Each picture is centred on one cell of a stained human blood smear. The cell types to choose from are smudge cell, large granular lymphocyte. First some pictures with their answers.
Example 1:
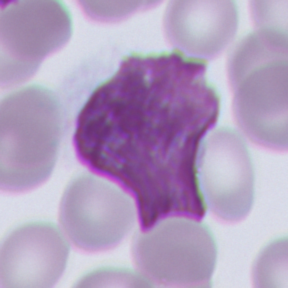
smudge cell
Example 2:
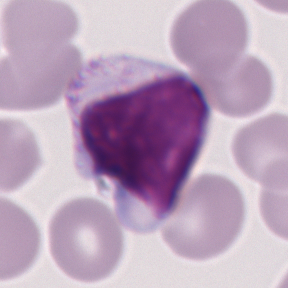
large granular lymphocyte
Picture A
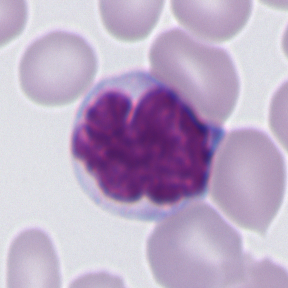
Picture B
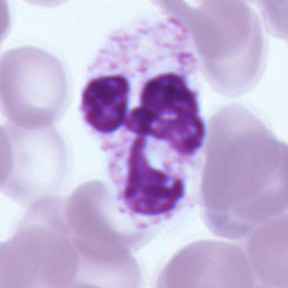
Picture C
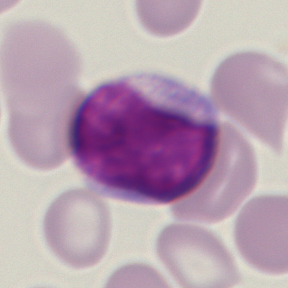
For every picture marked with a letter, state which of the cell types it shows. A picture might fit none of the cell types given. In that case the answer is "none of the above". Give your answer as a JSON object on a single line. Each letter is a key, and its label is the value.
{"A": "large granular lymphocyte", "B": "none of the above", "C": "large granular lymphocyte"}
